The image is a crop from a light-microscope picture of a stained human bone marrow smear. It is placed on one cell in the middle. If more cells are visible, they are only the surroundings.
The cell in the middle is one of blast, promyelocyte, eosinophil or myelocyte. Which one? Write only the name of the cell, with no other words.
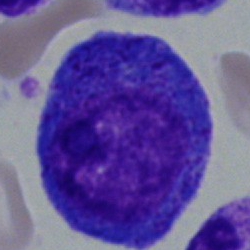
promyelocyte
